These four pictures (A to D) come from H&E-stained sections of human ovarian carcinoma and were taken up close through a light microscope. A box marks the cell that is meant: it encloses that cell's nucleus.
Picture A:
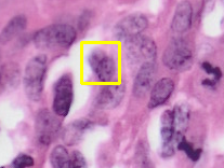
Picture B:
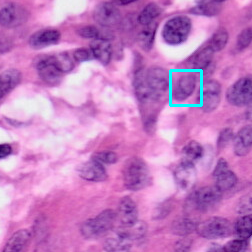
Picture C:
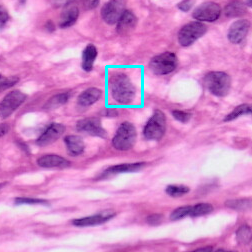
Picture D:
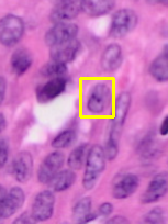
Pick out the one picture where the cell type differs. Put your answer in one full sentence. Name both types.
Unlike the rest, which show carcinoma cells, picture D shows a “macrophage or monocyte”.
